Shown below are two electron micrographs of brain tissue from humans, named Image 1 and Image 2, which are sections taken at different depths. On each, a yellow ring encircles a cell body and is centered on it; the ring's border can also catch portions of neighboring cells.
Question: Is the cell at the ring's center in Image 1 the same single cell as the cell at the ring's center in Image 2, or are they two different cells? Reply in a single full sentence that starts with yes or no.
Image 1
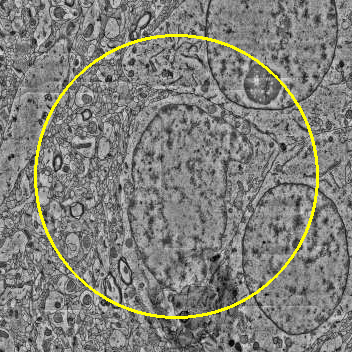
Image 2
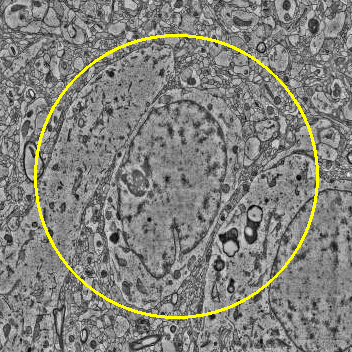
No, a single cell is not marked twice here; two cells are marked.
